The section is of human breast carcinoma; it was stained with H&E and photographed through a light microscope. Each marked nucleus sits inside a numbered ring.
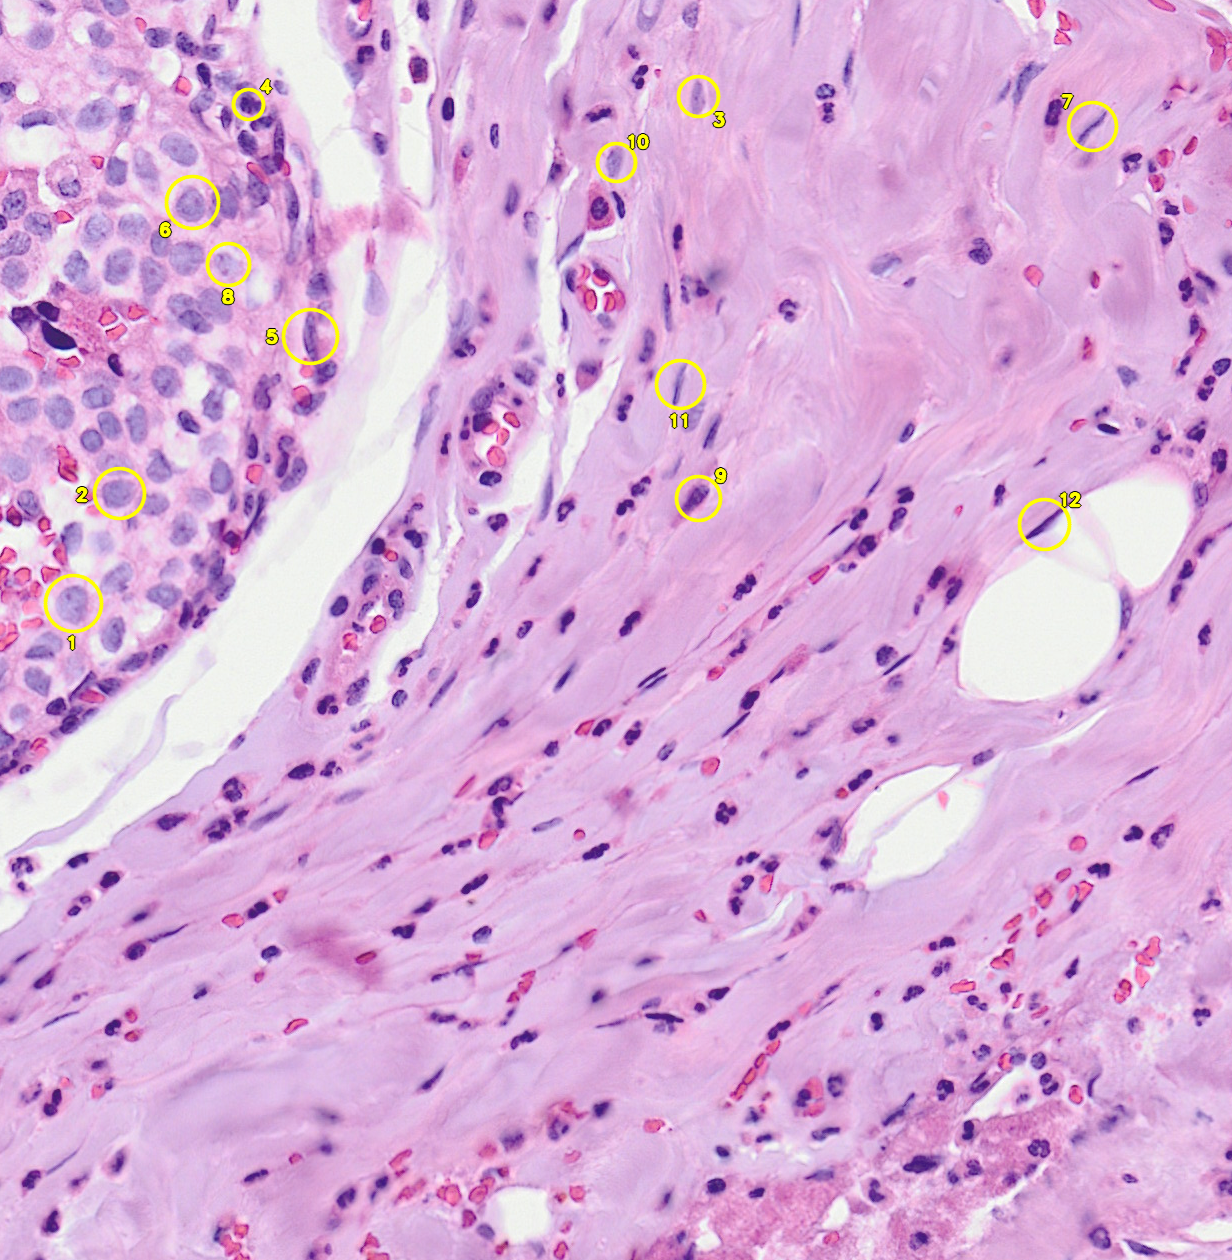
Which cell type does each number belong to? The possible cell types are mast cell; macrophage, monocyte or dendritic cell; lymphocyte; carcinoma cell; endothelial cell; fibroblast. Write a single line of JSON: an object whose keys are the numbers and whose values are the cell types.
{"1": "carcinoma cell", "2": "carcinoma cell", "3": "fibroblast", "4": "lymphocyte", "5": "endothelial cell", "6": "carcinoma cell", "7": "fibroblast", "8": "carcinoma cell", "9": "mast cell", "10": "fibroblast", "11": "fibroblast", "12": "fibroblast"}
